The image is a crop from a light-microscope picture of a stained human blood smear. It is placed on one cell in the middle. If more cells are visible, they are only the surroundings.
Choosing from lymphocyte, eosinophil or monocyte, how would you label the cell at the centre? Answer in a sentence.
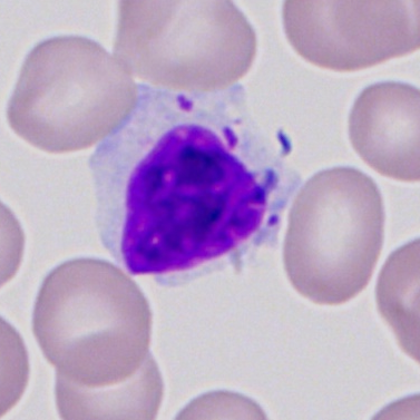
Classified as a lymphocyte is the cell in the middle of this crop.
